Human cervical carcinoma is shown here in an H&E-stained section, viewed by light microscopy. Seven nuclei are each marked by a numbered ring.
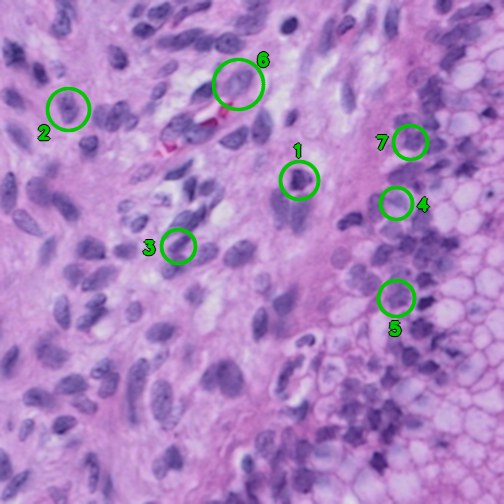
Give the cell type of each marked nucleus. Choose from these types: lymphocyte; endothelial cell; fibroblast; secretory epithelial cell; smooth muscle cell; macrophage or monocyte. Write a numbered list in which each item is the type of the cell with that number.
1. lymphocyte
2. fibroblast
3. fibroblast
4. secretory epithelial cell
5. secretory epithelial cell
6. endothelial cell
7. secretory epithelial cell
